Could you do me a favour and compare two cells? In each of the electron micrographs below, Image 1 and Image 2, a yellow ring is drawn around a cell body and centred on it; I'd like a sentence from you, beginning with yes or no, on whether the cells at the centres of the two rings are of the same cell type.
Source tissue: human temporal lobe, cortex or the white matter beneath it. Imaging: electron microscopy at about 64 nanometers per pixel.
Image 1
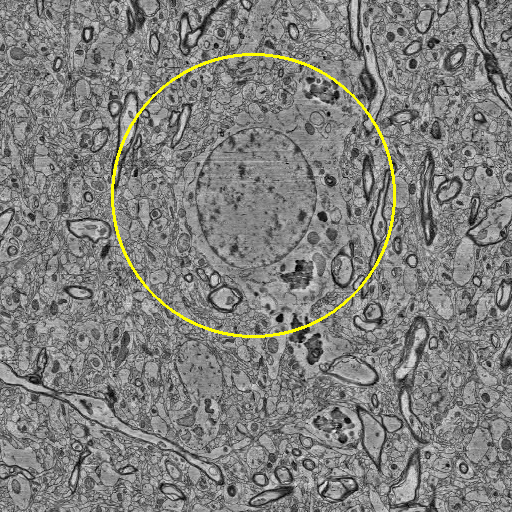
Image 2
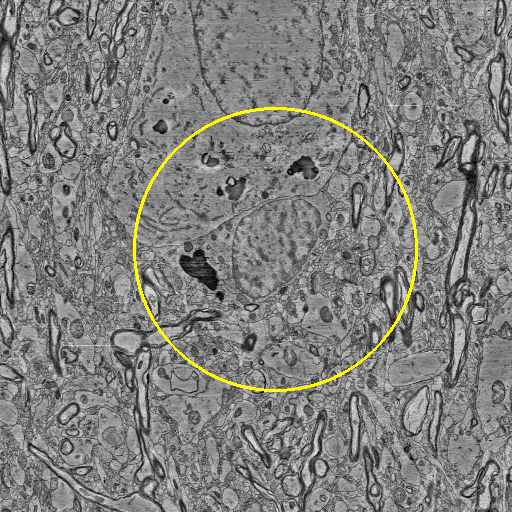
No, the two cells are of two cell types.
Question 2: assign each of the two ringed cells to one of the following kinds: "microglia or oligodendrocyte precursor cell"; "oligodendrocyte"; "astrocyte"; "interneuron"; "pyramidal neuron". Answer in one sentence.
The two cells are an astrocyte in the first picture and an oligodendrocyte in the second.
